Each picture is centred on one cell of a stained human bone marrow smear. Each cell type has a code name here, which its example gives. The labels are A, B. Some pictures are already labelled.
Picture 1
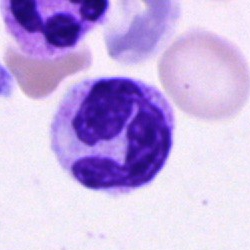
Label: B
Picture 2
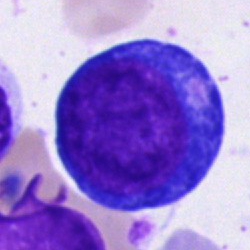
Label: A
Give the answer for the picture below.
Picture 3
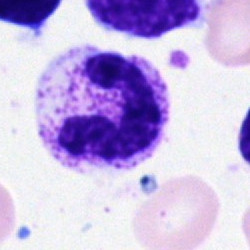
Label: B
